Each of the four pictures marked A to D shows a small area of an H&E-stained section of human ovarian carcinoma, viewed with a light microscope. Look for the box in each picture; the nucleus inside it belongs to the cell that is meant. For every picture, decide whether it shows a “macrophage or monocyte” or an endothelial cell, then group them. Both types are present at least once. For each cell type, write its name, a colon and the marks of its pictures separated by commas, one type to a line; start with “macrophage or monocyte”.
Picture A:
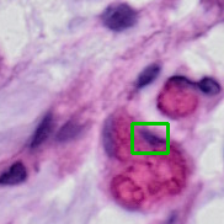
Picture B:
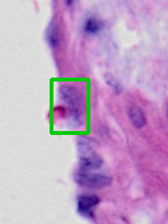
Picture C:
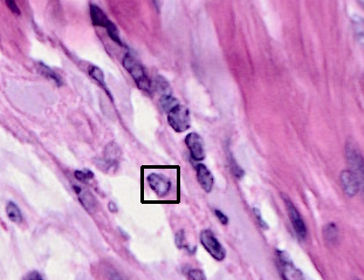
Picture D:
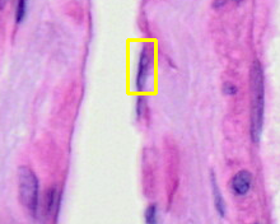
macrophage or monocyte: C
endothelial cell: A, B, D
